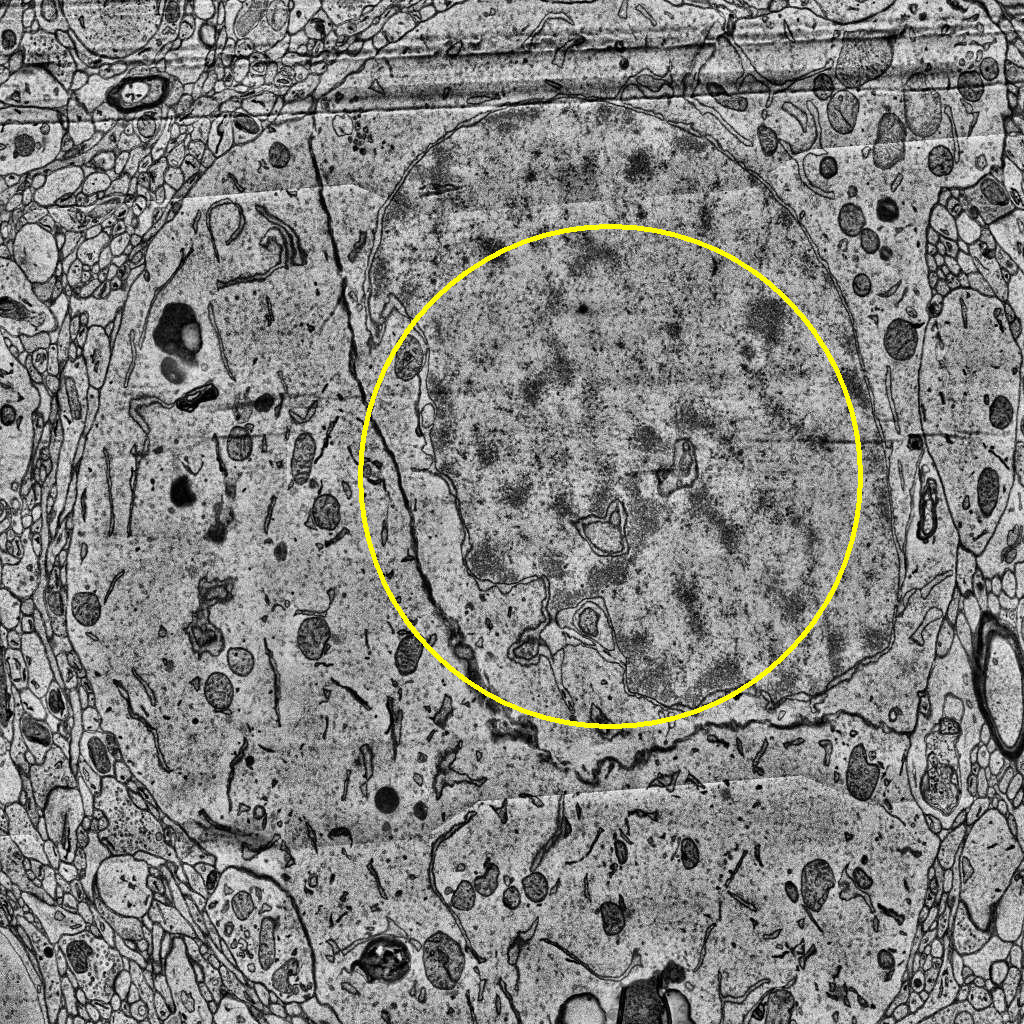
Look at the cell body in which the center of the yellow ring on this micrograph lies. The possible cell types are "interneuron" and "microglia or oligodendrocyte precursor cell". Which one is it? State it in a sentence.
The cell at the middle of the ring is an interneuron.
